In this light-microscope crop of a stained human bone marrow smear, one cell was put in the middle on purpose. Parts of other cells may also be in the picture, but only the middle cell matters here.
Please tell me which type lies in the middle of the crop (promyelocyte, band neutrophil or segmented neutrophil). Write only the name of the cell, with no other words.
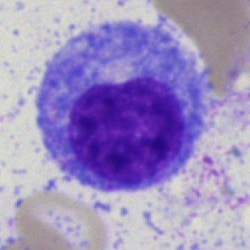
promyelocyte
